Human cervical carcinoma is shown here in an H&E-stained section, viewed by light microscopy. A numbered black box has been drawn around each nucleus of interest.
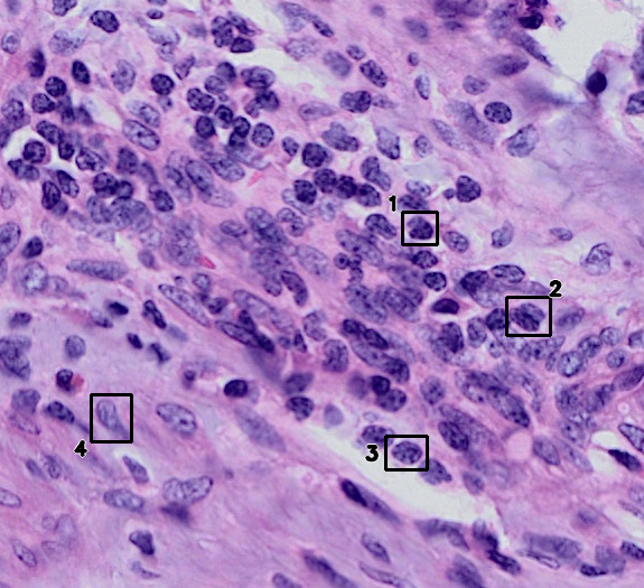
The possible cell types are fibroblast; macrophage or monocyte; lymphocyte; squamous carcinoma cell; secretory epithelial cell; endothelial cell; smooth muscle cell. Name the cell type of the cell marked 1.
lymphocyte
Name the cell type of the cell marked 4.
smooth muscle cell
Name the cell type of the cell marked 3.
lymphocyte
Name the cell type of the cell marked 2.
lymphocyte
